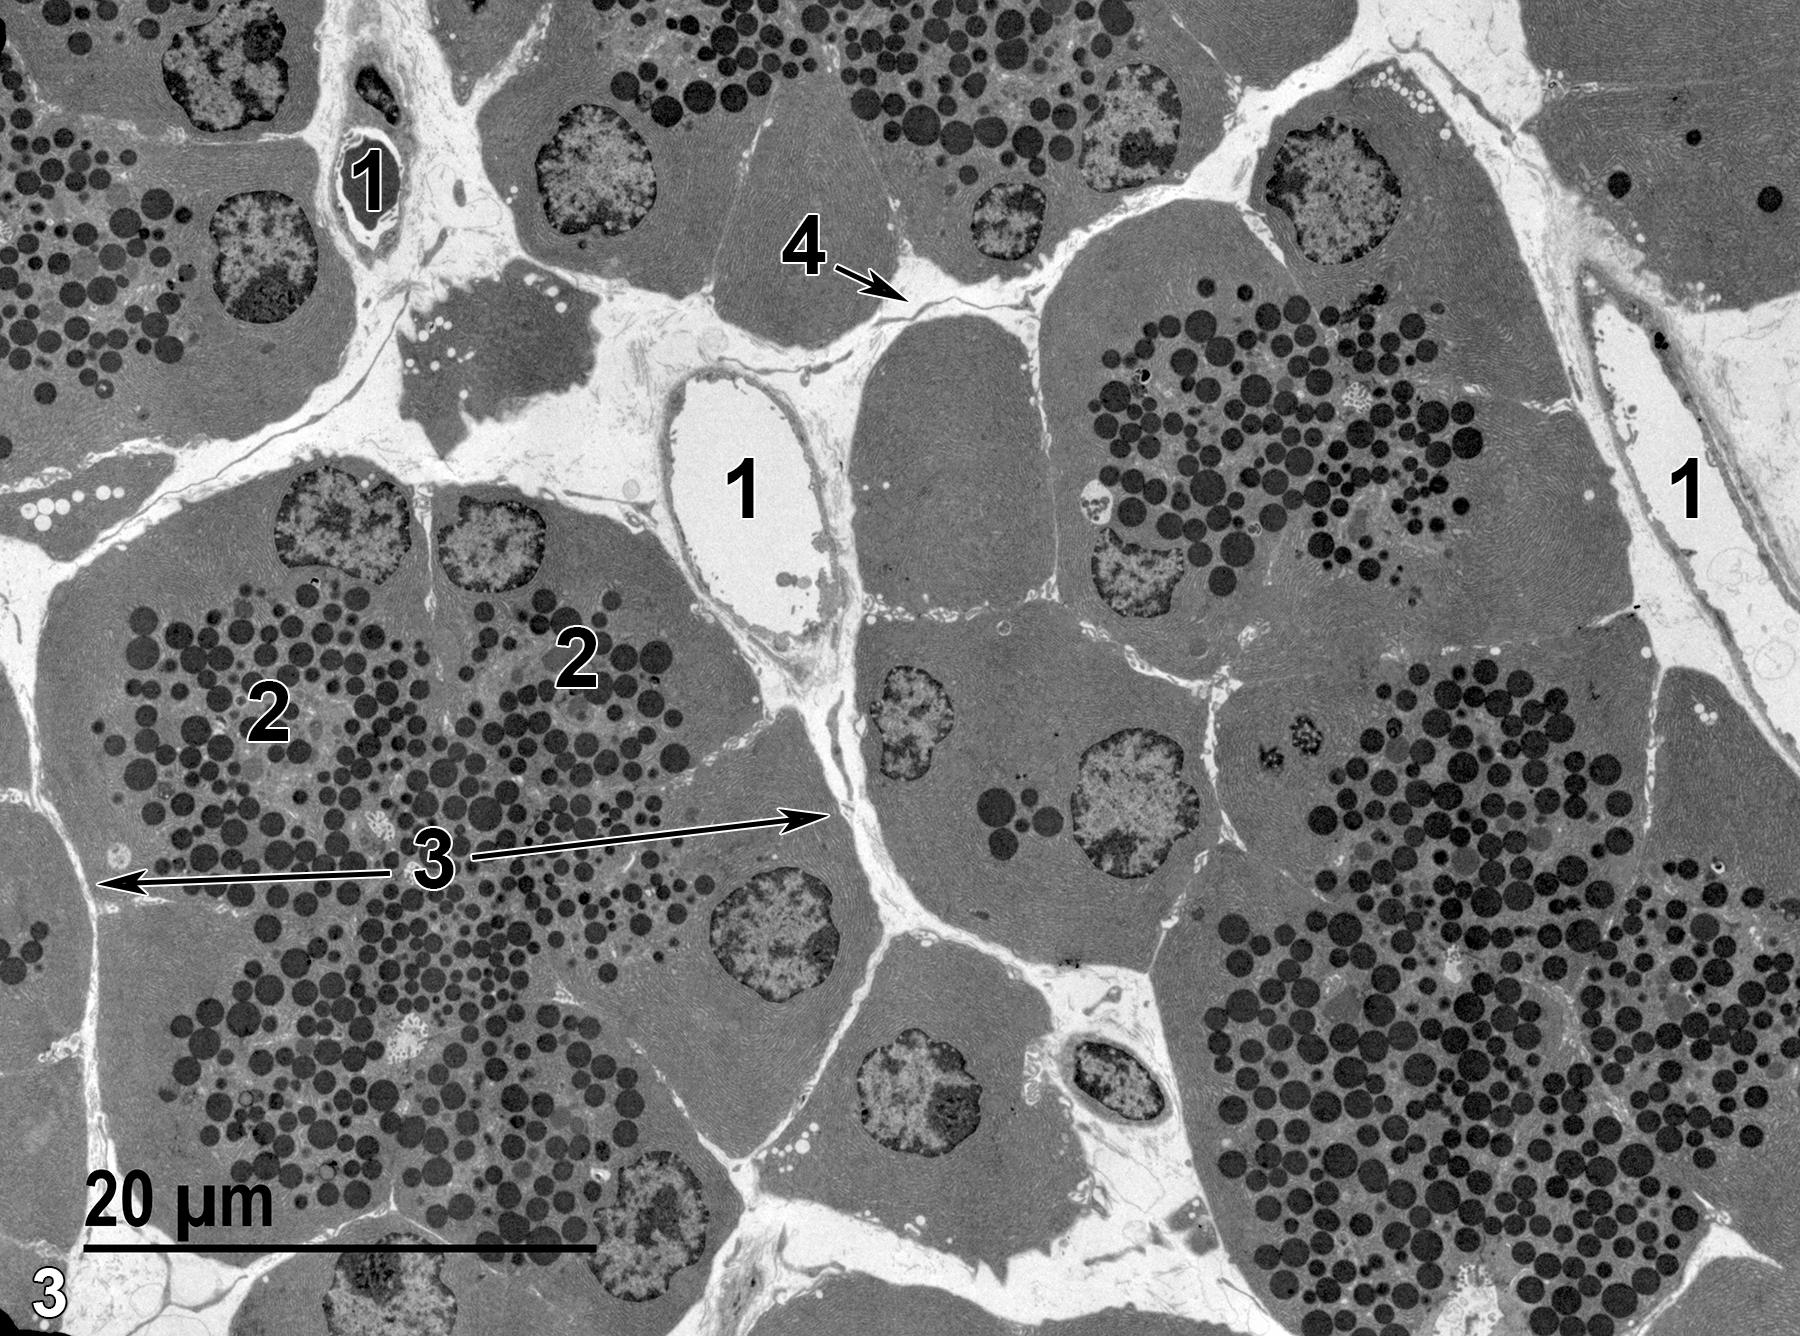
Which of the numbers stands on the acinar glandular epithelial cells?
2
